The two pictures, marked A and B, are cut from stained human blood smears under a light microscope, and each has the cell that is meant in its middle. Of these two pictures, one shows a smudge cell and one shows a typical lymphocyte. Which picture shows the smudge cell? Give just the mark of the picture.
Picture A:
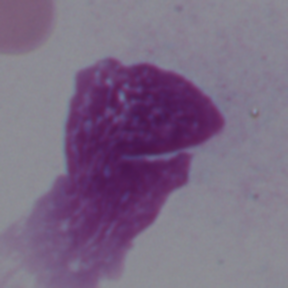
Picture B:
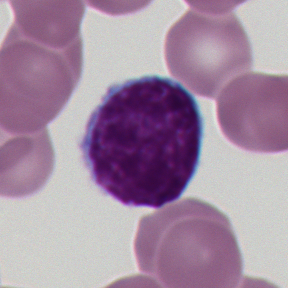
A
